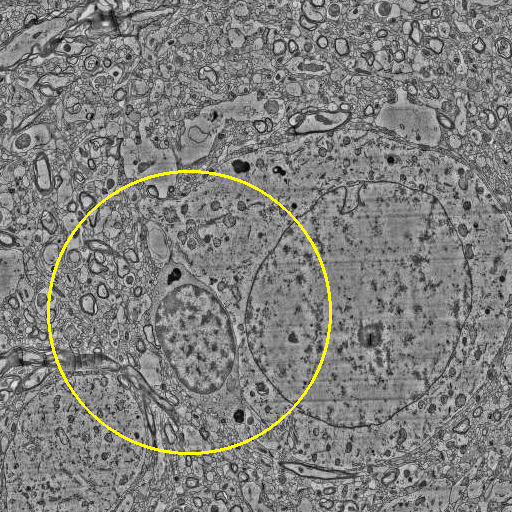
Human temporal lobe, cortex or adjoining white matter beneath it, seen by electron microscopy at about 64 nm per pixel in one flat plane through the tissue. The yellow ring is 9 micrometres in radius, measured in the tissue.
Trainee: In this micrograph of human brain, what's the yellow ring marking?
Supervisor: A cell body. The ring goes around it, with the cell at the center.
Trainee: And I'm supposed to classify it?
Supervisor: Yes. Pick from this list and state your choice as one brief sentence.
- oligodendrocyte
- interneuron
The cell at the ring's center is an oligodendrocyte.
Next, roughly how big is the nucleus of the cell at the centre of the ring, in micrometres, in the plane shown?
About 7 by 5 micrometres in this plane; clearly longer than it is wide.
